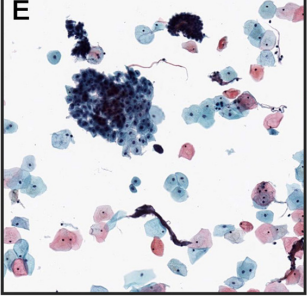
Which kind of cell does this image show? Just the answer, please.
squamous epithelial cells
